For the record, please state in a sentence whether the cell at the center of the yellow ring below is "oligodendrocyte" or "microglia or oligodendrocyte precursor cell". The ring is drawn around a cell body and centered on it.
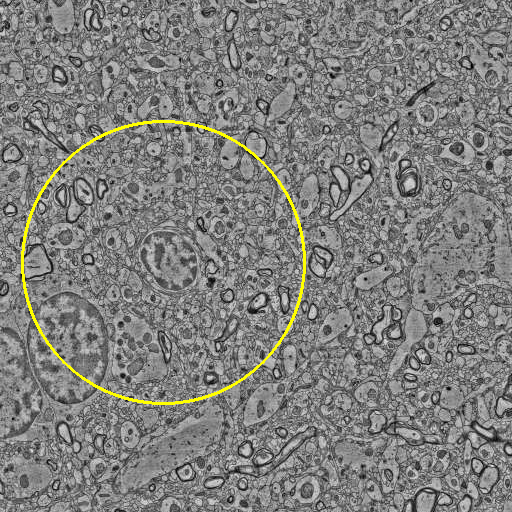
The cell at the ring's center is a microglial cell or oligodendrocyte precursor cell.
